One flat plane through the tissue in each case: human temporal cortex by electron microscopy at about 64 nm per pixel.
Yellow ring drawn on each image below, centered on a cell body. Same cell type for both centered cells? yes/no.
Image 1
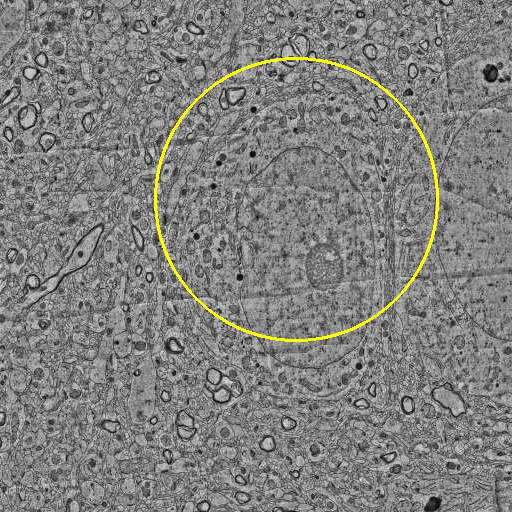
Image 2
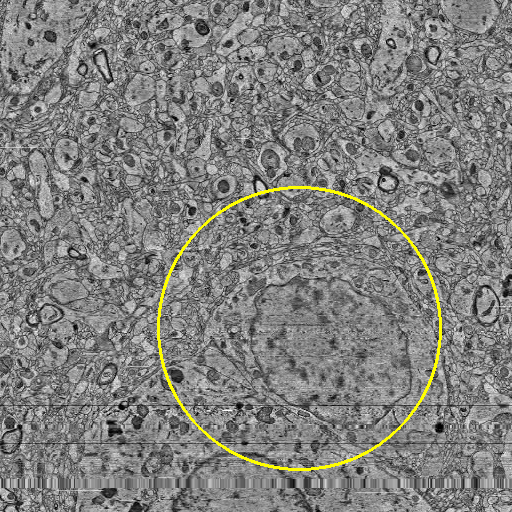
yes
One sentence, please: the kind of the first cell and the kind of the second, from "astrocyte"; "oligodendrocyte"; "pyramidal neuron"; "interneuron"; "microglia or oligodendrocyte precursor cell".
In each of the two pictures, the ringed cell is an interneuron.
